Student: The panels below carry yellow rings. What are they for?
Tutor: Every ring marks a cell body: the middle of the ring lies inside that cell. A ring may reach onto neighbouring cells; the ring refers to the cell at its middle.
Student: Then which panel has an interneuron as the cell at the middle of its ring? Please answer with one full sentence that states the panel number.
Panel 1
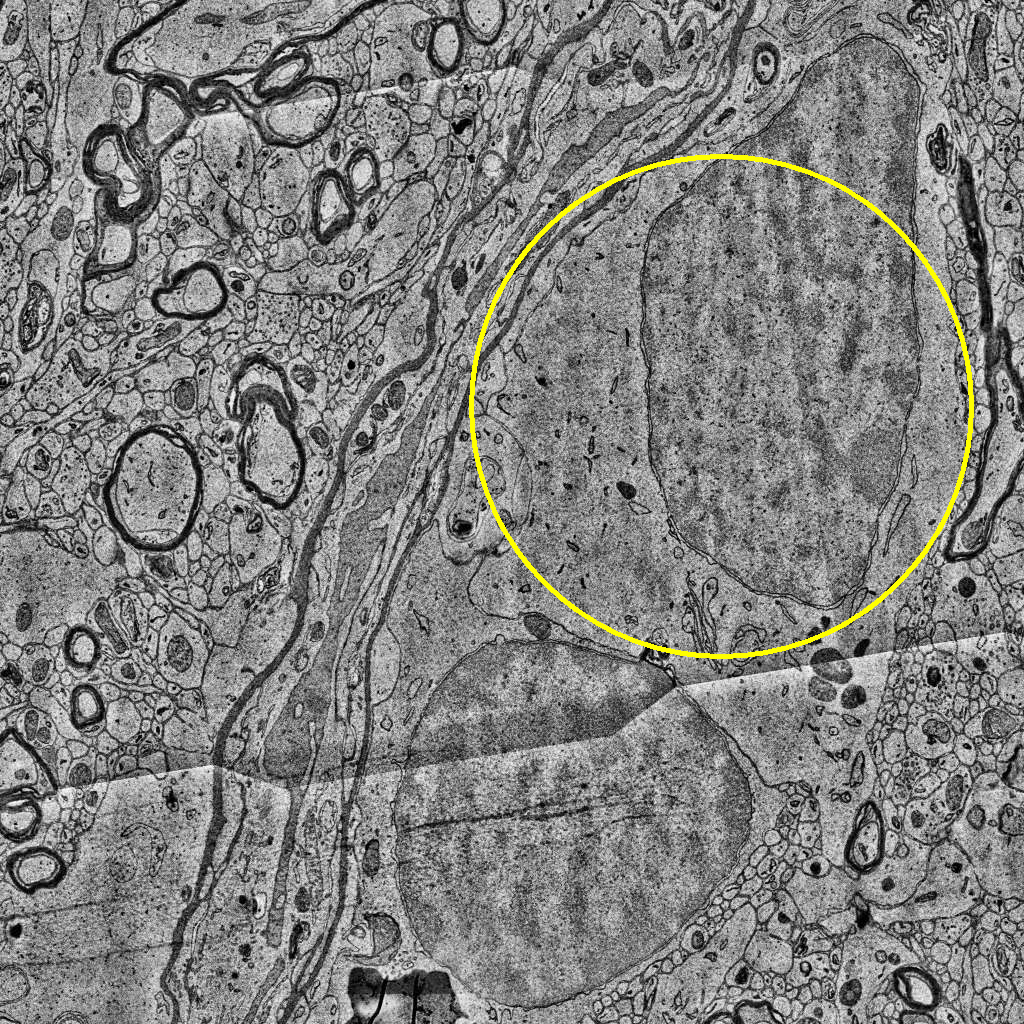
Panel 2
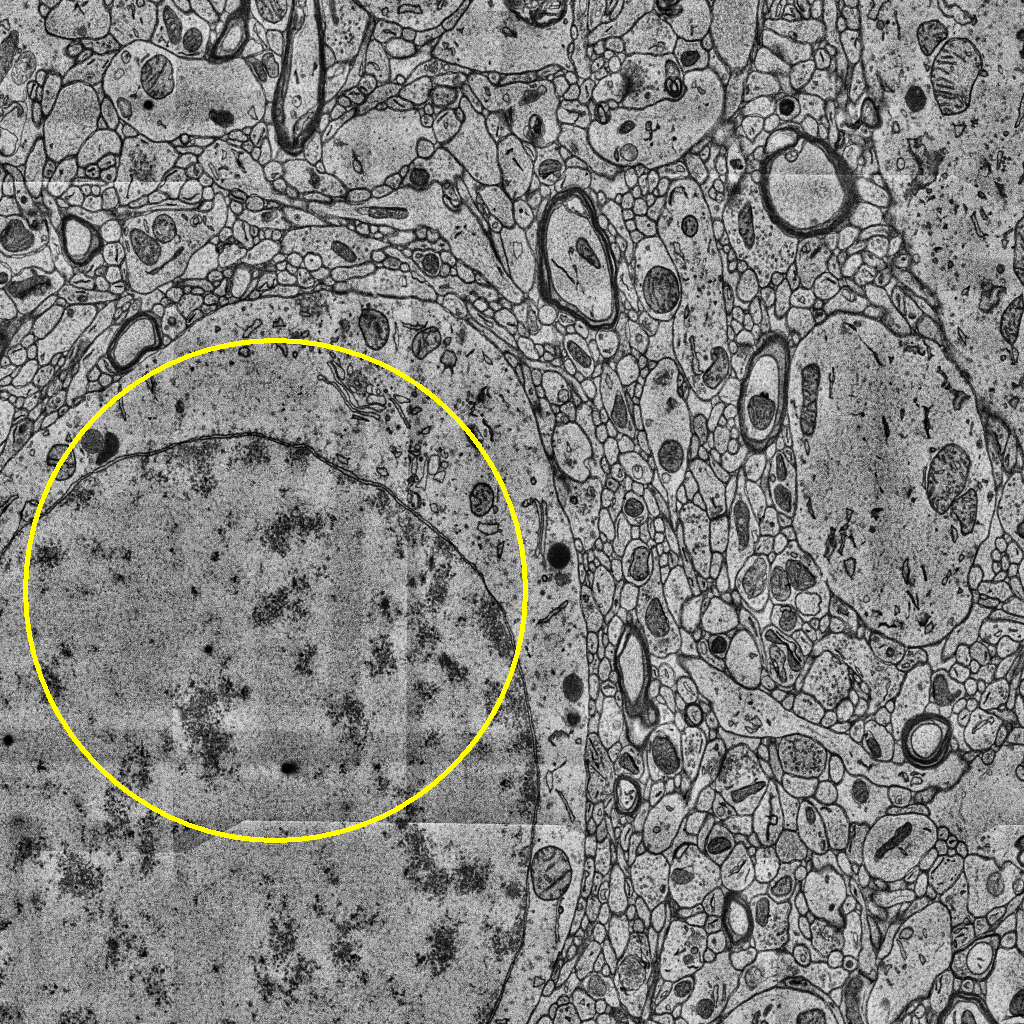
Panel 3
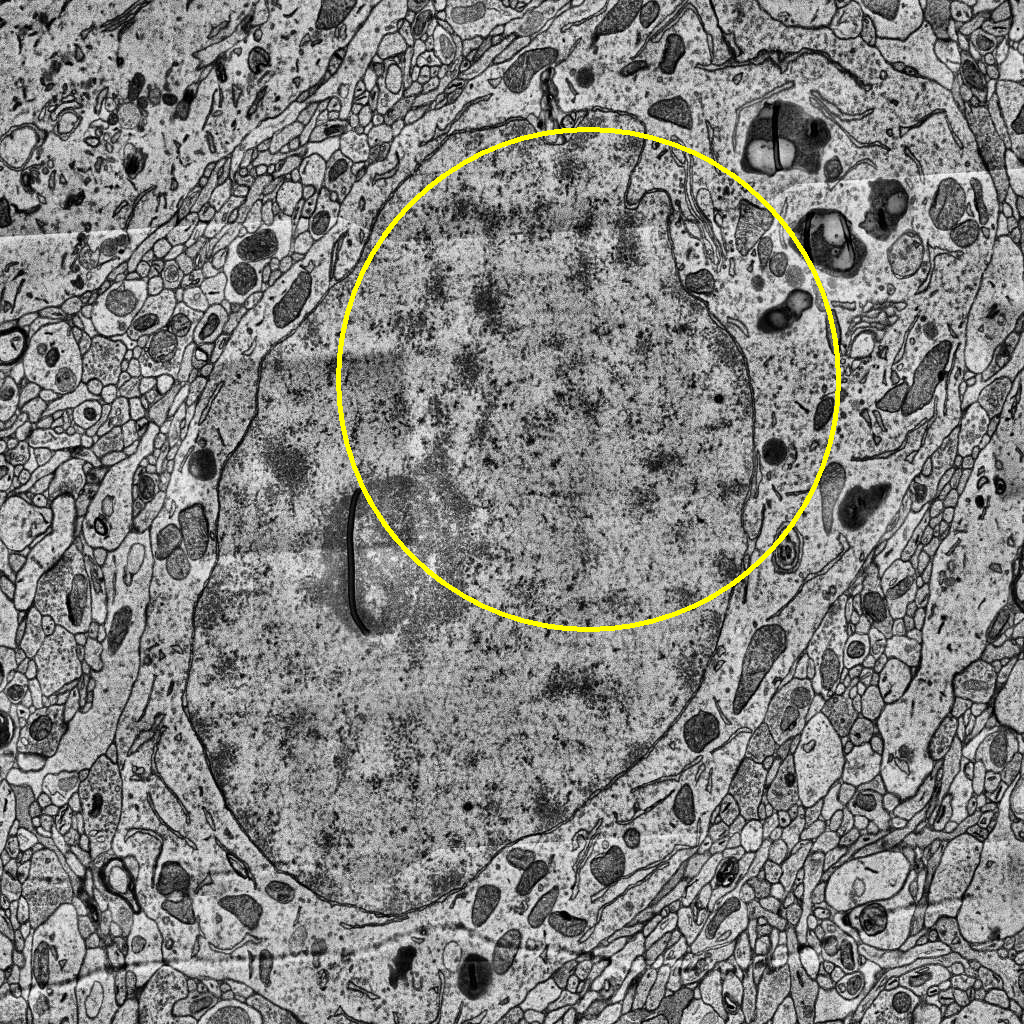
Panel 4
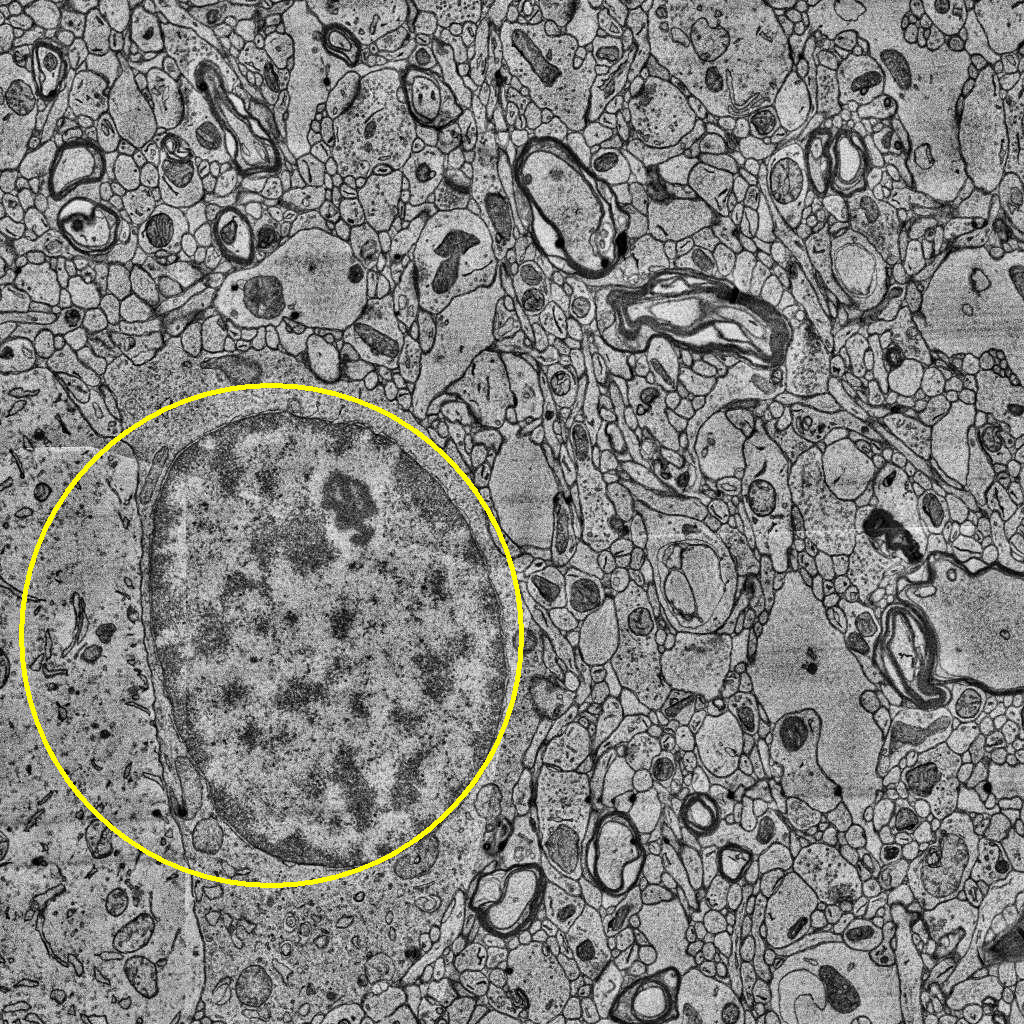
In Panel 3, the middle of the ring lies inside the cell body that is sought.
